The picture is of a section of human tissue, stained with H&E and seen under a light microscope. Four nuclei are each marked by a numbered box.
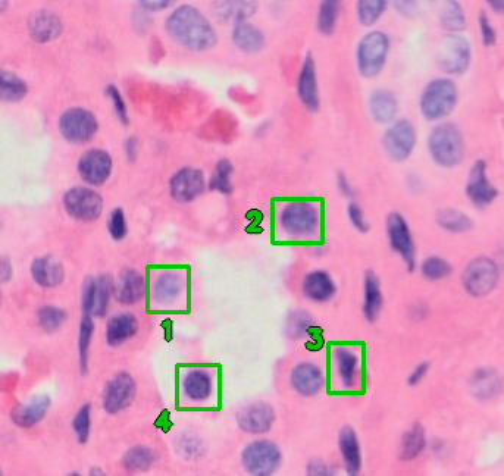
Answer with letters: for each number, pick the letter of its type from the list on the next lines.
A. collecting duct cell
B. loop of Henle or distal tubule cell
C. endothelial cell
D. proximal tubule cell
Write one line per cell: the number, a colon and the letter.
1: B
2: B
3: C
4: B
